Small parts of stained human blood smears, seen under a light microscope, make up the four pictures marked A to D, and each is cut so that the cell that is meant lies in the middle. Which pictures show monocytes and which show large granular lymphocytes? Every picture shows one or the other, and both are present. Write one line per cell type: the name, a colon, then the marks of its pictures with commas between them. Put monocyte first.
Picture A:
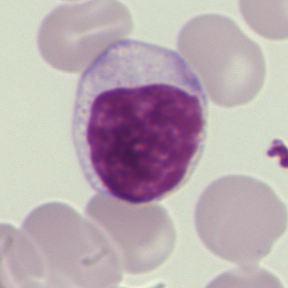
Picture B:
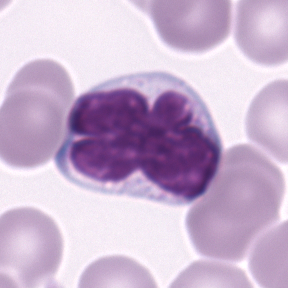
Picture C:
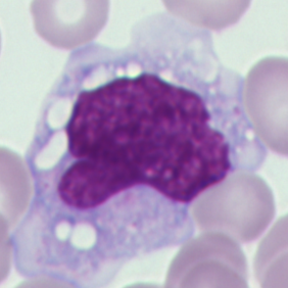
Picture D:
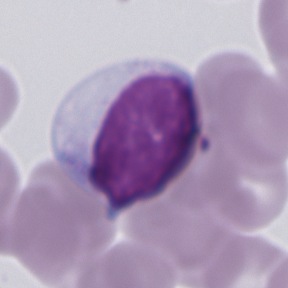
monocyte: C
large granular lymphocyte: A, B, D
